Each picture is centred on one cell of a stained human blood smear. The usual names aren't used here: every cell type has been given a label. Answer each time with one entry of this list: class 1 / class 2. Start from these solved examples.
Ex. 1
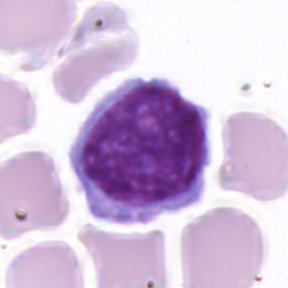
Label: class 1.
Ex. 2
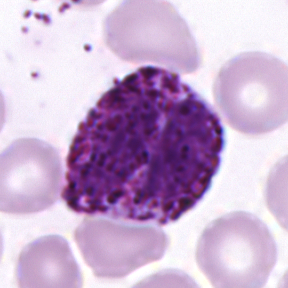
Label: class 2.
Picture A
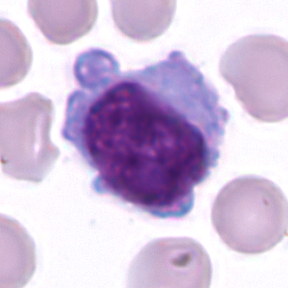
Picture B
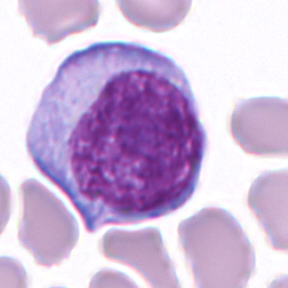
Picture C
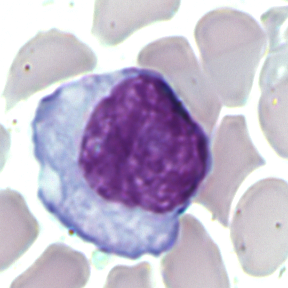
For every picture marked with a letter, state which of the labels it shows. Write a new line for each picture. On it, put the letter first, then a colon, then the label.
A: class 1.
B: class 1.
C: class 1.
